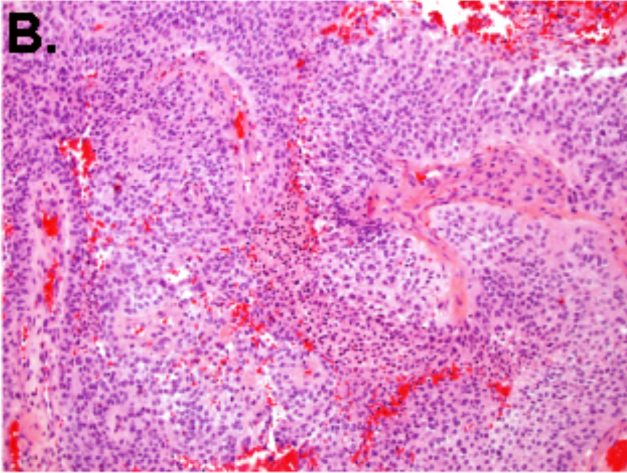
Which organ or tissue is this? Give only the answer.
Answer: Densely cellular tumor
